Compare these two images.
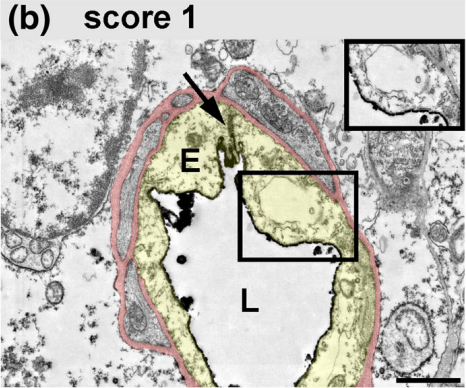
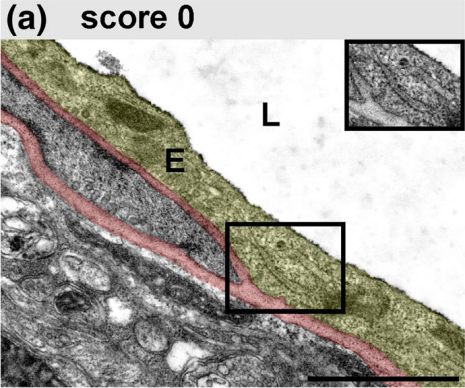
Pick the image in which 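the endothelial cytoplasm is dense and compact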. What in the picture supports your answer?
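The second image. First image: the endothelial cytoplasm is pale, swollen and watery-looking. Second image: the endothelial cytoplasm is dark, finely granular and thin.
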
